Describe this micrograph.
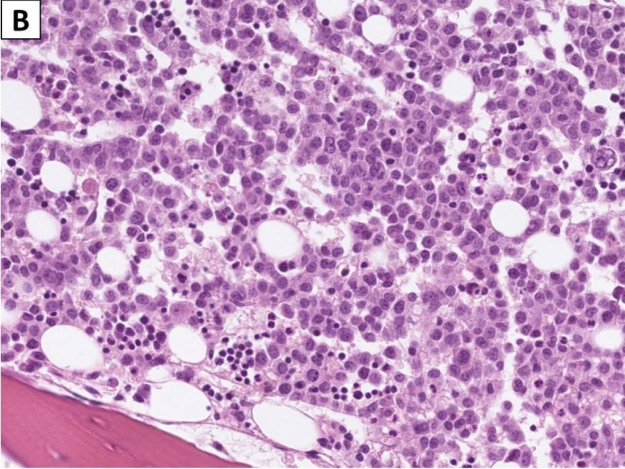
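This bone marrow section shows a dense infiltrate of closely packed cells replacing most of the marrow space. A strip of pink bone runs along the lower left edge, and only a few round clear fat spaces remain. The infiltrating cells have round to oval nuclei and a moderate amount of pale pink to lilac cytoplasm, forming sheets with little intervening stroma. Small clusters of cells with small dark round nuclei are scattered among them, especially near the bone.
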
